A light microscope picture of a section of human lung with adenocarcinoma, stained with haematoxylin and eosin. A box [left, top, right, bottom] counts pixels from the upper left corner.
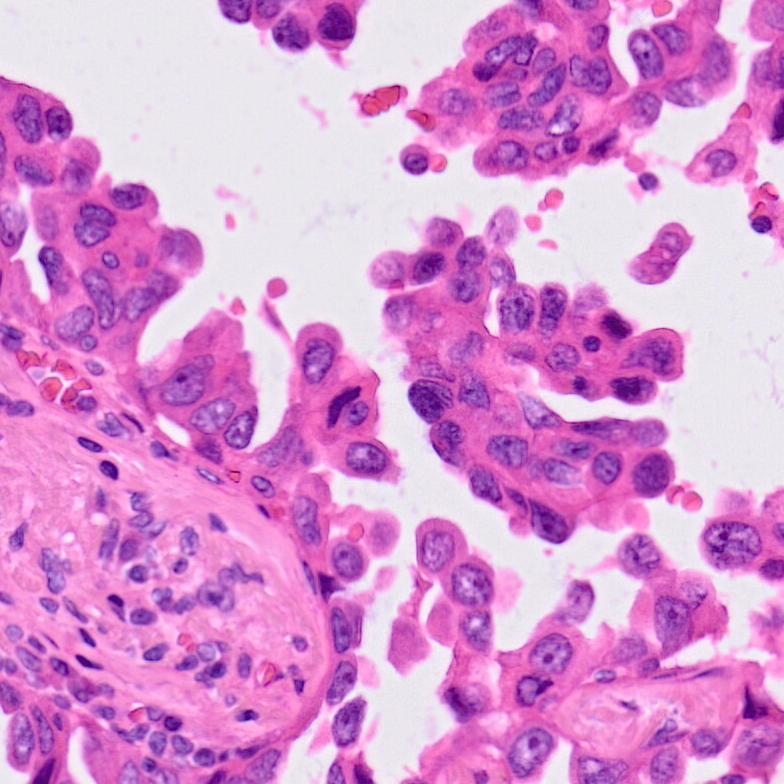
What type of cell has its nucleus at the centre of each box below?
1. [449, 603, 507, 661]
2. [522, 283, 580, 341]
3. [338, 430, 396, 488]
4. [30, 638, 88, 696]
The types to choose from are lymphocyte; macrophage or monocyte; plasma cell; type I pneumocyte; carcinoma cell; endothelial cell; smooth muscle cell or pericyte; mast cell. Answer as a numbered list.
1. carcinoma cell
2. carcinoma cell
3. carcinoma cell
4. plasma cell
